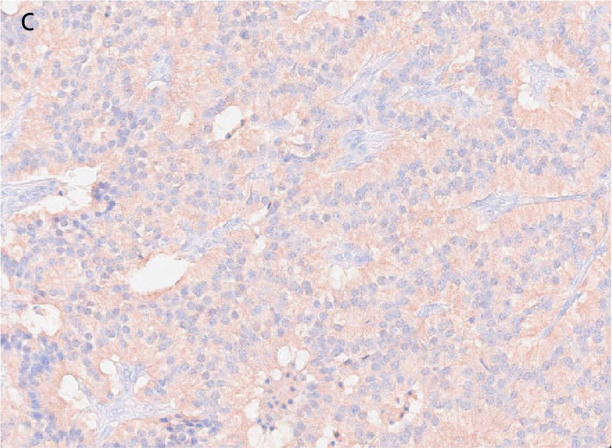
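This shows sheets and nests of tumor cells separated by thin pale fibrovascular septa. The tumor cells have small round, fairly uniform blue nuclei and moderate amounts of cytoplasm. The cytoplasm of nearly all tumor cells is stained diffusely light brown, while the stroma and vessel walls remain unstained. Small clear spaces and vessels are scattered between the cell groups.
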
